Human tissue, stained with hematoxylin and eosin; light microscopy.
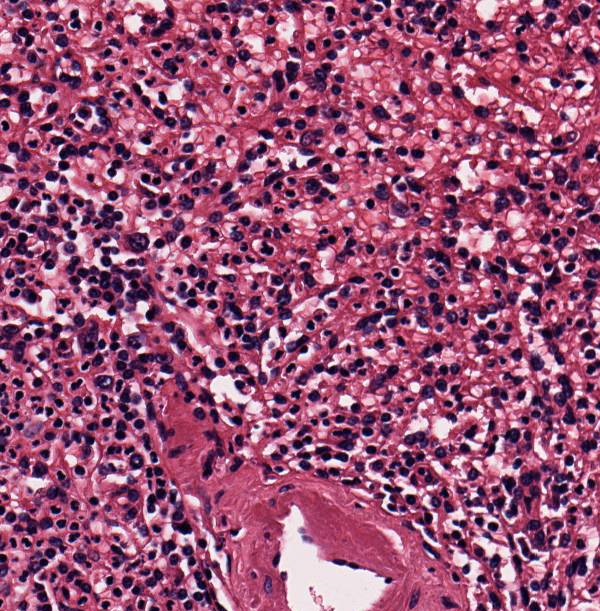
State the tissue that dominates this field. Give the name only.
red pulp of the spleen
